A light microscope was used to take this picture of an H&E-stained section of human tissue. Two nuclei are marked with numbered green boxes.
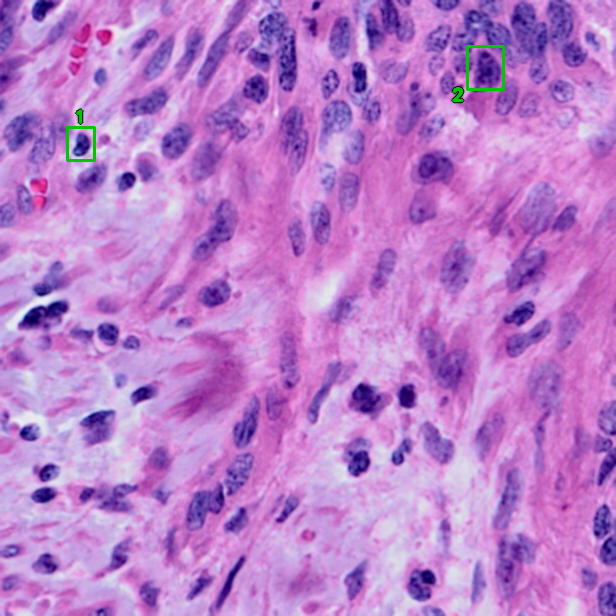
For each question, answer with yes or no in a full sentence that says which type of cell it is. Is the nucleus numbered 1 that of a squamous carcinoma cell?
No, cell 1 should be read as a lymphocyte instead of a squamous carcinoma cell.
